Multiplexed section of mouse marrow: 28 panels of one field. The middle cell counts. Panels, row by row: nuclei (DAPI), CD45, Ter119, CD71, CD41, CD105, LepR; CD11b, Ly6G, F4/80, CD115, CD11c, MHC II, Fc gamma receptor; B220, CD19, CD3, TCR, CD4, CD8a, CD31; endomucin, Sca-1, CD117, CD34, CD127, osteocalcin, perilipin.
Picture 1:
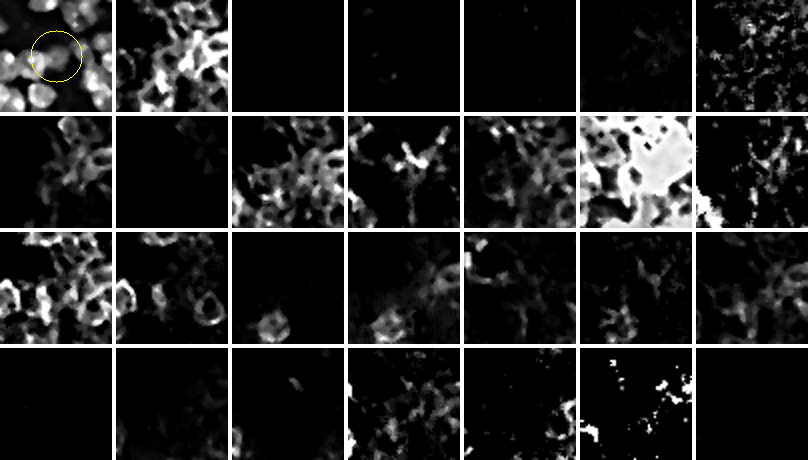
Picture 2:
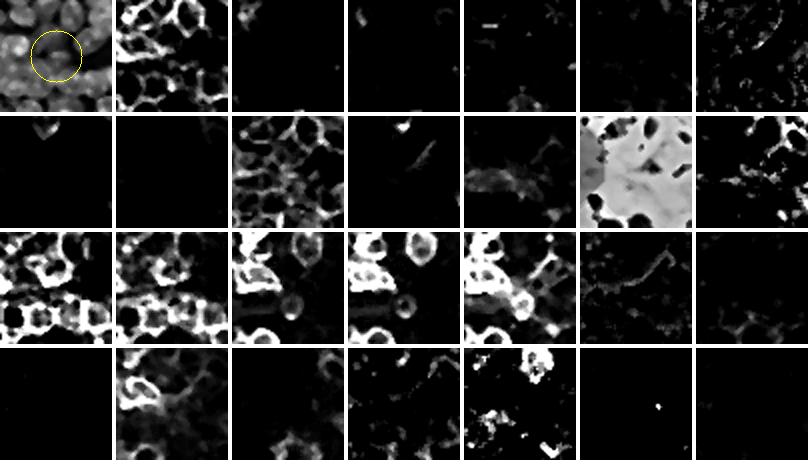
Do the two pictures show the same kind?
No: a monocyte, then a B cell.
